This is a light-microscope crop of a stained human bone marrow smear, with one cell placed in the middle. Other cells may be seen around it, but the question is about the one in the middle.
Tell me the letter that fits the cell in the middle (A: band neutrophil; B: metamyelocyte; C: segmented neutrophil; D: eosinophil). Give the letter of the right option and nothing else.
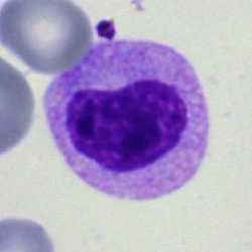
B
